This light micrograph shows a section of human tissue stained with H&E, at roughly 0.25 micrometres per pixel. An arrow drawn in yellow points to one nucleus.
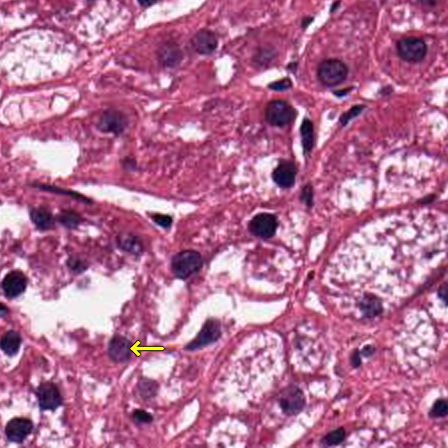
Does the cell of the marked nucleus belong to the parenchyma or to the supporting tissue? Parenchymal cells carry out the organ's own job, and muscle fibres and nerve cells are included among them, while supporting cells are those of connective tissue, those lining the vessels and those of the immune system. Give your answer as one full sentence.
The parenchymal cell with the marked nucleus is an adrenal cortical cell.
